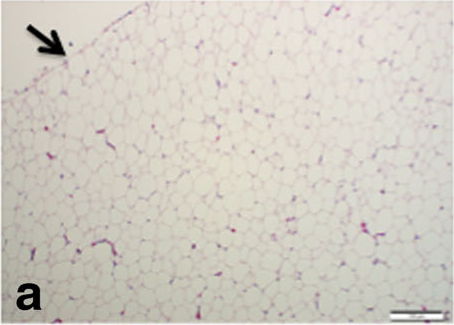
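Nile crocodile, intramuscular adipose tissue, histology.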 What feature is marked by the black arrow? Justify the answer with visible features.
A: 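Thin fibrous connective tissue capsule. The arrow points to the thin edge bounding the tissue at upper left. The tissue is made of many empty polygonal fat cells.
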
